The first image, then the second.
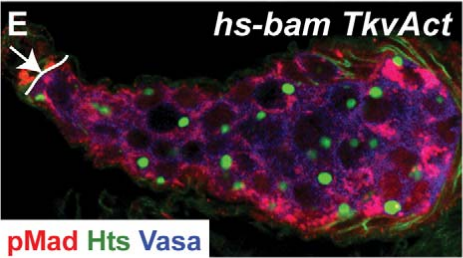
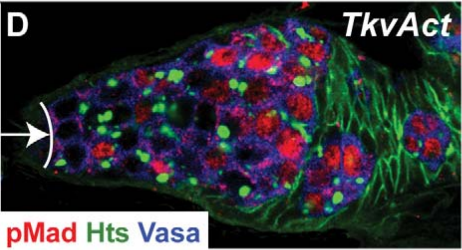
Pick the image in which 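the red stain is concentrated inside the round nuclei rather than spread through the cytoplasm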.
The second image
